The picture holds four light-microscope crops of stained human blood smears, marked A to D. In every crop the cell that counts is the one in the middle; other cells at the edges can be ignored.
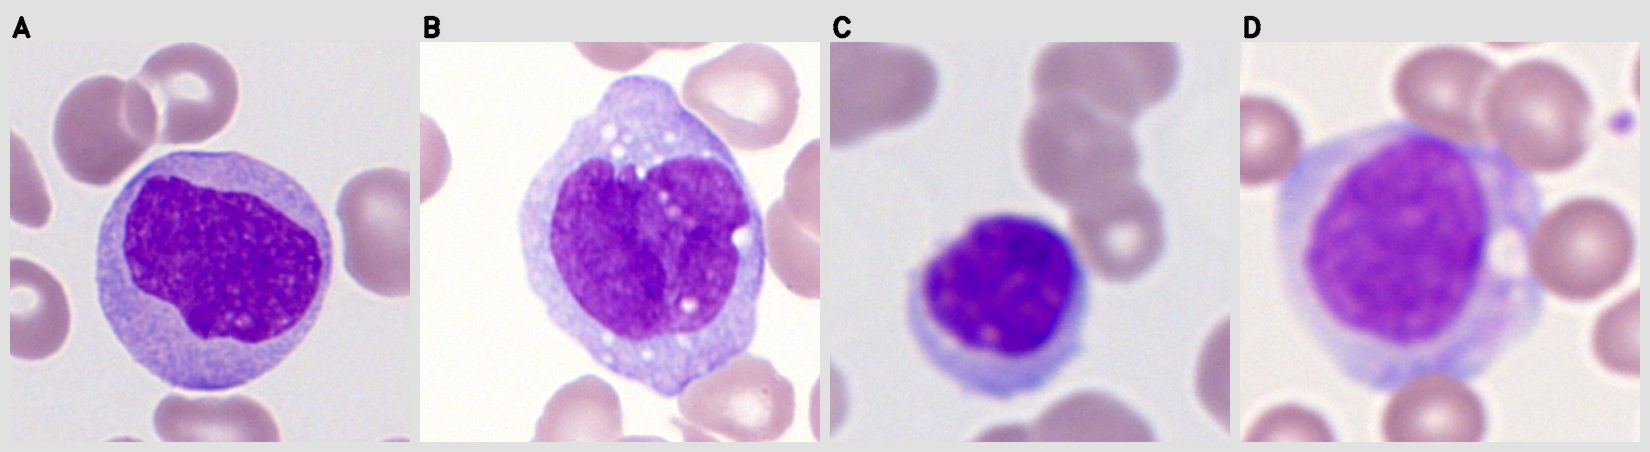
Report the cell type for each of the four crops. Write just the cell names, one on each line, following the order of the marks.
blast
monocyte
lymphocyte
monocyte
